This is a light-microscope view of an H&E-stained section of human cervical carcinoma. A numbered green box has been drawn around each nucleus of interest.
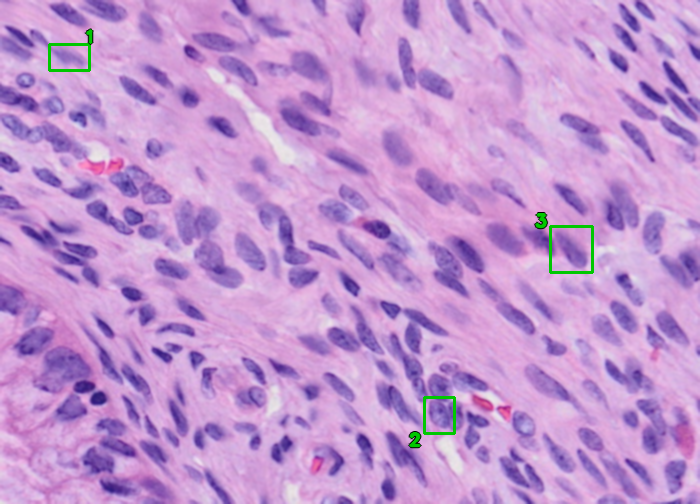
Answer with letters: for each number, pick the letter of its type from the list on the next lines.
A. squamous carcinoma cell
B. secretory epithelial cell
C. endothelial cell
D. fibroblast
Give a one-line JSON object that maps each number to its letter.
{"1": "D", "2": "C", "3": "D"}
